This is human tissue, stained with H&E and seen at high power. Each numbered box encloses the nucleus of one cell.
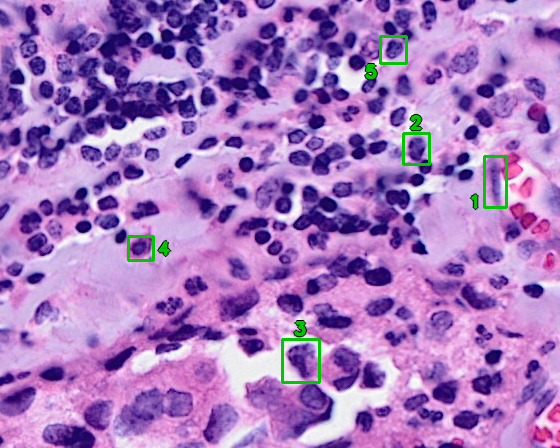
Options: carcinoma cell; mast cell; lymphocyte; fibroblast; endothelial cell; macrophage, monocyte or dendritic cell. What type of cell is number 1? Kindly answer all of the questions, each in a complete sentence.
The marked cell with the number 1 is recognised as an endothelial cell.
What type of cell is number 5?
The cell numbered 5 has been identified as a lymphocyte.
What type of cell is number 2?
Cell 2 in the field of view is a lymphocyte.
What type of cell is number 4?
The numeral 4 marks a mast cell in this section.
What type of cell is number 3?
In this section, the cell tagged 3 is a carcinoma cell.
